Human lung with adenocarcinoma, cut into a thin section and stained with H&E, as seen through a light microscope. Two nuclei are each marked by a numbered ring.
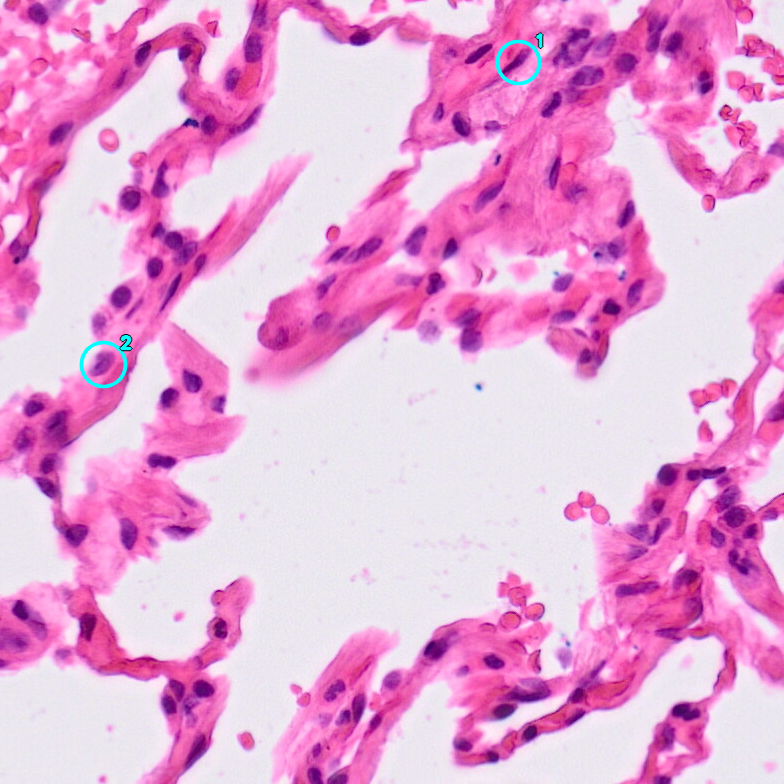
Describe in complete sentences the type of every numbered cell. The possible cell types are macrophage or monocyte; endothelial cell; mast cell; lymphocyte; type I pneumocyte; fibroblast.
Cell 1 is an endothelial cell. Cell 2 is a type I pneumocyte.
